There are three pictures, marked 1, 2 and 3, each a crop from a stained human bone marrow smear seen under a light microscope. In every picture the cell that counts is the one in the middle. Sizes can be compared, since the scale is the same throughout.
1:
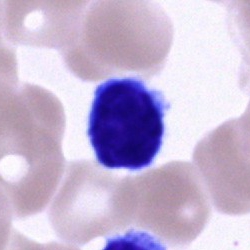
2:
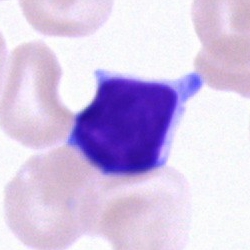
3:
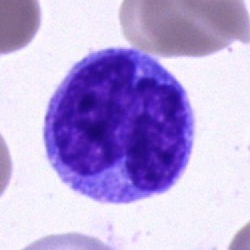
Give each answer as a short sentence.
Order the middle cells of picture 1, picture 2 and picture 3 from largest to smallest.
From the largest down, the order is 3, 2, 1.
